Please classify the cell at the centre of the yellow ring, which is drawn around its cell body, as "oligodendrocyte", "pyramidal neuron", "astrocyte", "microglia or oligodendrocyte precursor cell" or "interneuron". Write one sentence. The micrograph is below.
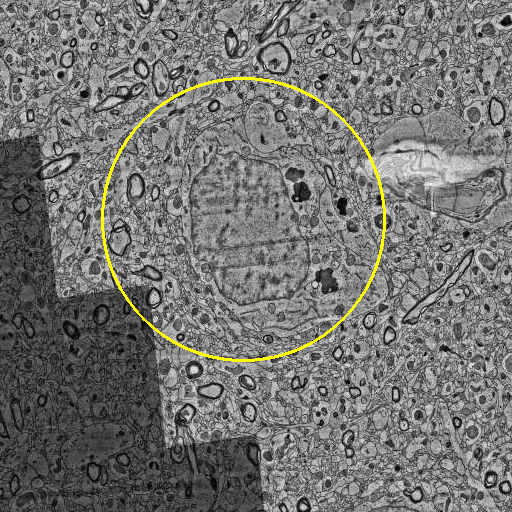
The cell at the ring's centre is classified as an interneuron.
